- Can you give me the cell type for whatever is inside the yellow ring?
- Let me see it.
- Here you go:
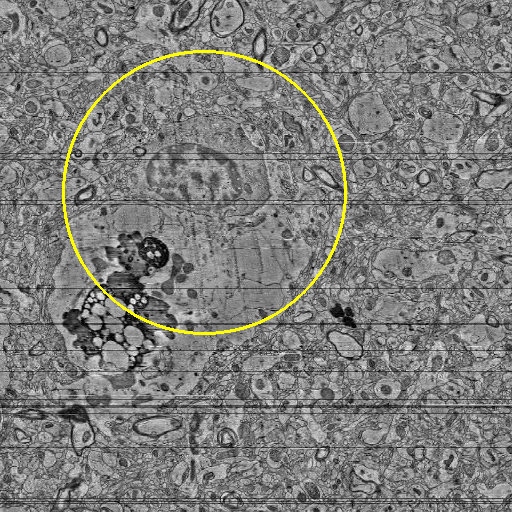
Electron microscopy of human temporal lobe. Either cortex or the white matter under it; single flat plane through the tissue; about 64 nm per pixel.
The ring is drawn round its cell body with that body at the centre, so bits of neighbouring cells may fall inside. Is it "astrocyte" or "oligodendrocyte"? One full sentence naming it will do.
The cell body in the middle of the ring in this picture belongs to an oligodendrocyte.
